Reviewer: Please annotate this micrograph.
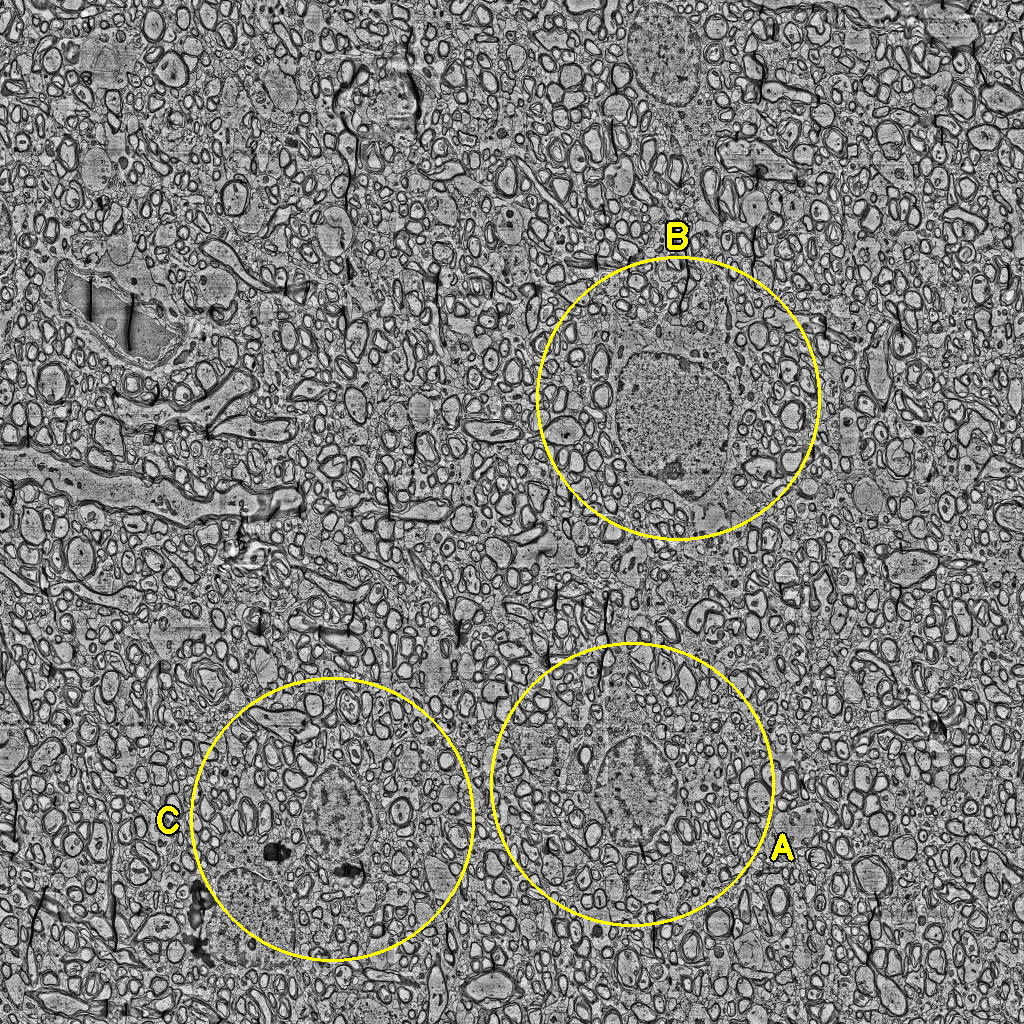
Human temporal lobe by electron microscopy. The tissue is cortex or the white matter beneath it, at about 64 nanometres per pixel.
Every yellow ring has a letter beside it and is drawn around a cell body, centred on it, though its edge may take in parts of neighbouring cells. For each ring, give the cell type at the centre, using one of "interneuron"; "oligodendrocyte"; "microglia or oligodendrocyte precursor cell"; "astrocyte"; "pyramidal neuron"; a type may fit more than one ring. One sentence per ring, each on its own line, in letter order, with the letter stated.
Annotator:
The cell in the middle of ring A is an oligodendrocyte.
The cell in the middle of ring B is an astrocyte.
The cell in the middle of ring C is an oligodendrocyte.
